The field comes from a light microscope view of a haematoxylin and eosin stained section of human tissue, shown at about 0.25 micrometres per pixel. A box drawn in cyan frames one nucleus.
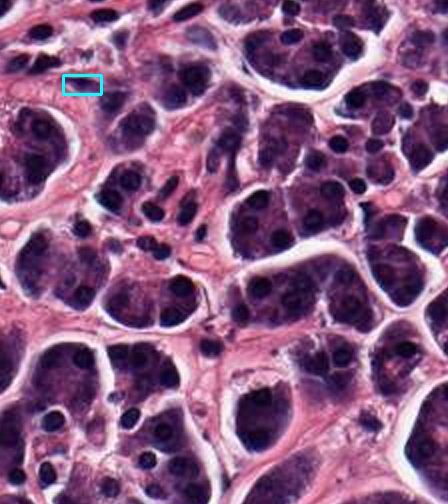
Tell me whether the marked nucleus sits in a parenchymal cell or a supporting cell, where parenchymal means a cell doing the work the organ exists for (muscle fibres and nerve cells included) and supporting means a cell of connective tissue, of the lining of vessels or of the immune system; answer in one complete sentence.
It is a supporting cell to which the marked nucleus belongs.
